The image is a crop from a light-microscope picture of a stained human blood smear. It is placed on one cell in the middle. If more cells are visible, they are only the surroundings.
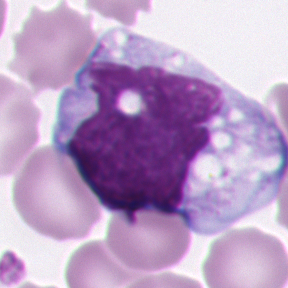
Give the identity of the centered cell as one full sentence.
Here the cell in the middle is a monocyte.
